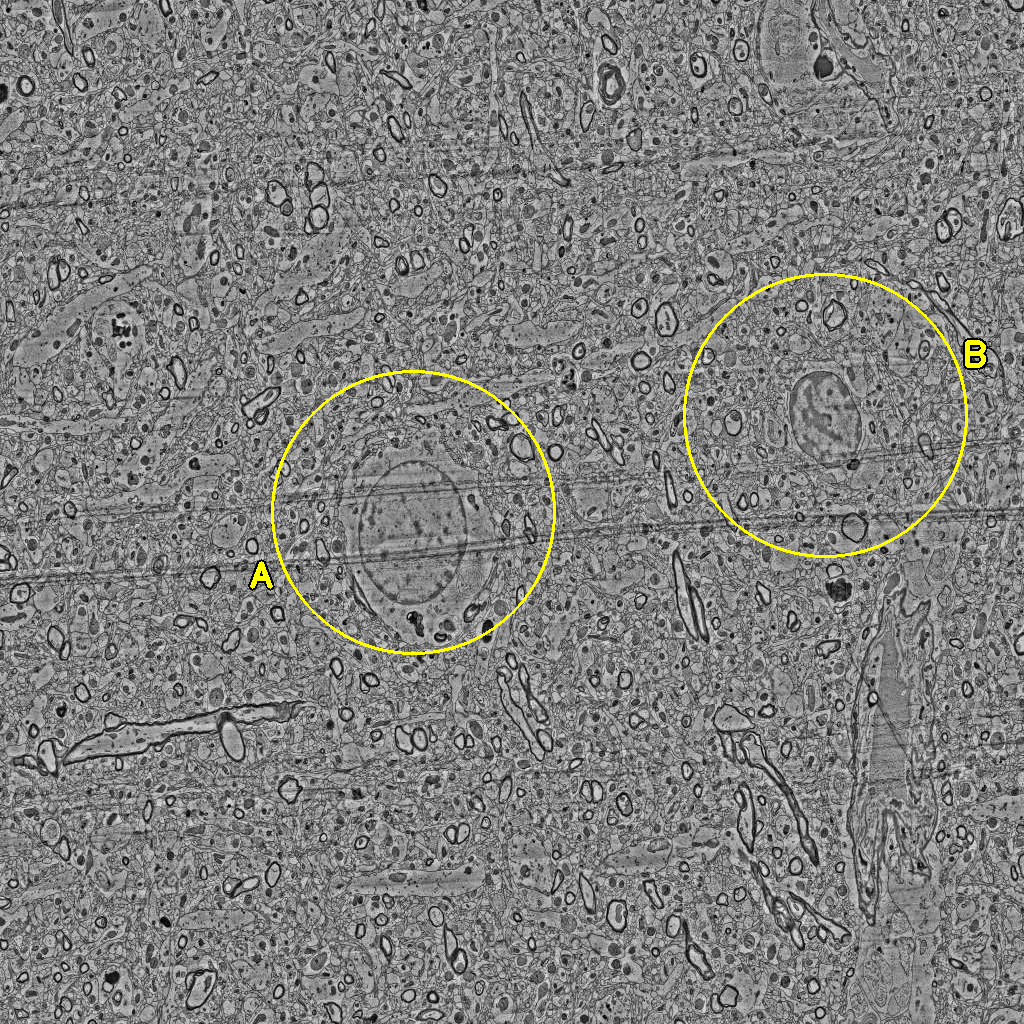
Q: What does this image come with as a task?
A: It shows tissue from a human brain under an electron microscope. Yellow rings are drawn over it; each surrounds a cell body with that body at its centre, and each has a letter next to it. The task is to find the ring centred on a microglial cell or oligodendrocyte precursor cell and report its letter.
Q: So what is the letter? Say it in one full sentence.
It is B, the letter of the ring centred on the cell asked for in the picture.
